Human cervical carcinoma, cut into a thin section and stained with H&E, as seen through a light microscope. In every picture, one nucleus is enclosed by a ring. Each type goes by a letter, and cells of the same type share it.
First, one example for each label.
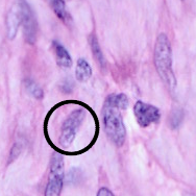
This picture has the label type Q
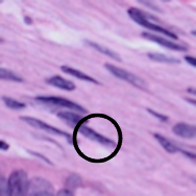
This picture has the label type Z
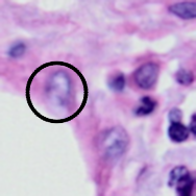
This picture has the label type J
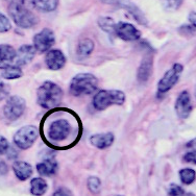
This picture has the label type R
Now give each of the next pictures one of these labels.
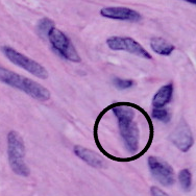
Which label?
type Z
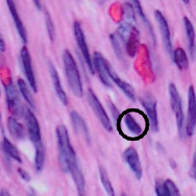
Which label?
type Z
